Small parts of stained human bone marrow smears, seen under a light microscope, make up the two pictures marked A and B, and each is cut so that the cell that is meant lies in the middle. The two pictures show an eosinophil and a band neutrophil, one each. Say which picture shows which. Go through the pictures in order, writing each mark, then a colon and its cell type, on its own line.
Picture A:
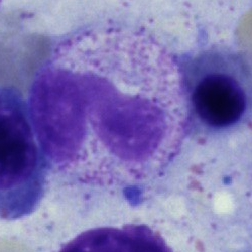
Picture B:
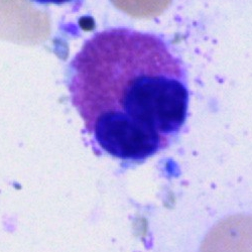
A: band neutrophil
B: eosinophil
